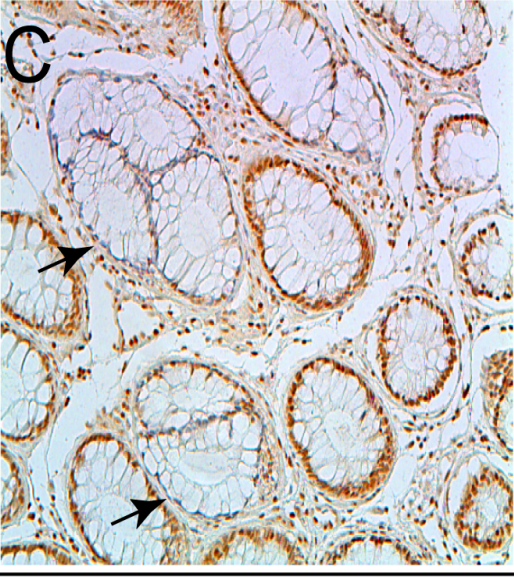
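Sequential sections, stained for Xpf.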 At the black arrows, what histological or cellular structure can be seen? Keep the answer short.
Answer: fissioning crypts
